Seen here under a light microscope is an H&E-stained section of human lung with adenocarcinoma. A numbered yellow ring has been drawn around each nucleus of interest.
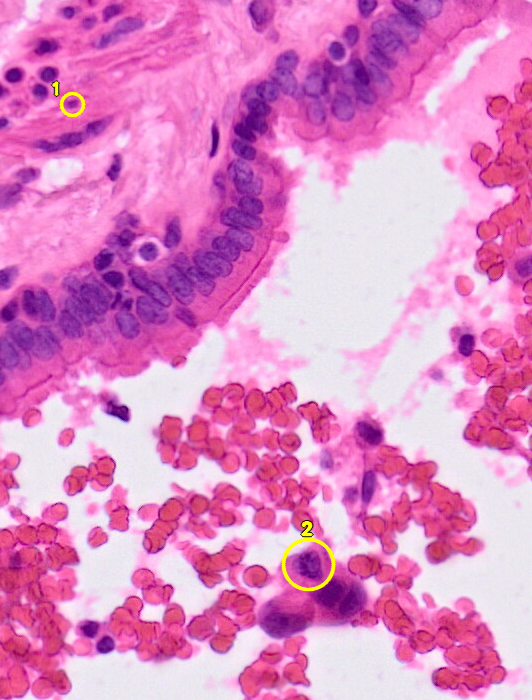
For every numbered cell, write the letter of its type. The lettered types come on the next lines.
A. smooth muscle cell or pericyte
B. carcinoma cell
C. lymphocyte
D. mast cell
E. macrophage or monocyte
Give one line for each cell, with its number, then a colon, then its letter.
1: A
2: B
